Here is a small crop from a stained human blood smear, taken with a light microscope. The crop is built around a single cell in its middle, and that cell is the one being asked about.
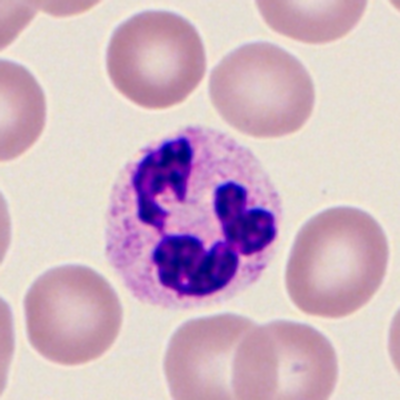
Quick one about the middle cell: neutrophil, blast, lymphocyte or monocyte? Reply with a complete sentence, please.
In the crop, the cell of interest at the centre is a neutrophil.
